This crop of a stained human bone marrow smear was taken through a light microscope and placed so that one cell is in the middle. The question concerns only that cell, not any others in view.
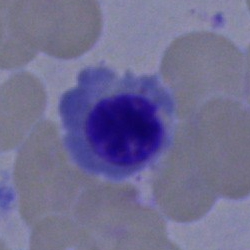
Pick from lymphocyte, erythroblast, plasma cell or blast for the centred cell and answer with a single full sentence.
Standing at the centre of this crop is an erythroblast.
